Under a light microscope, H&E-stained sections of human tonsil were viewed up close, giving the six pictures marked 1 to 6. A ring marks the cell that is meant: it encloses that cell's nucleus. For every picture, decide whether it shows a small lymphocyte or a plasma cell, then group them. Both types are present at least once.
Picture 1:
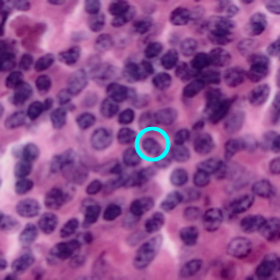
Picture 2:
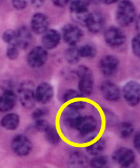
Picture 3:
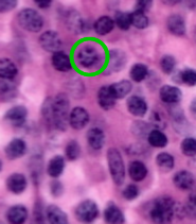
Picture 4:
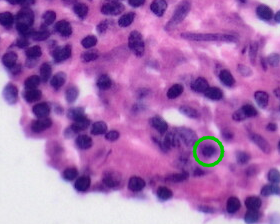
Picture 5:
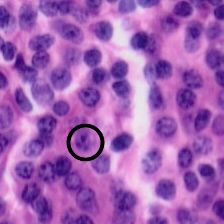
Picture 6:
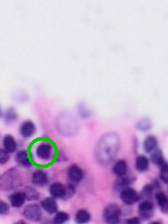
1: small lymphocyte
2: plasma cell
3: plasma cell
4: plasma cell
5: plasma cell
6: small lymphocyte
